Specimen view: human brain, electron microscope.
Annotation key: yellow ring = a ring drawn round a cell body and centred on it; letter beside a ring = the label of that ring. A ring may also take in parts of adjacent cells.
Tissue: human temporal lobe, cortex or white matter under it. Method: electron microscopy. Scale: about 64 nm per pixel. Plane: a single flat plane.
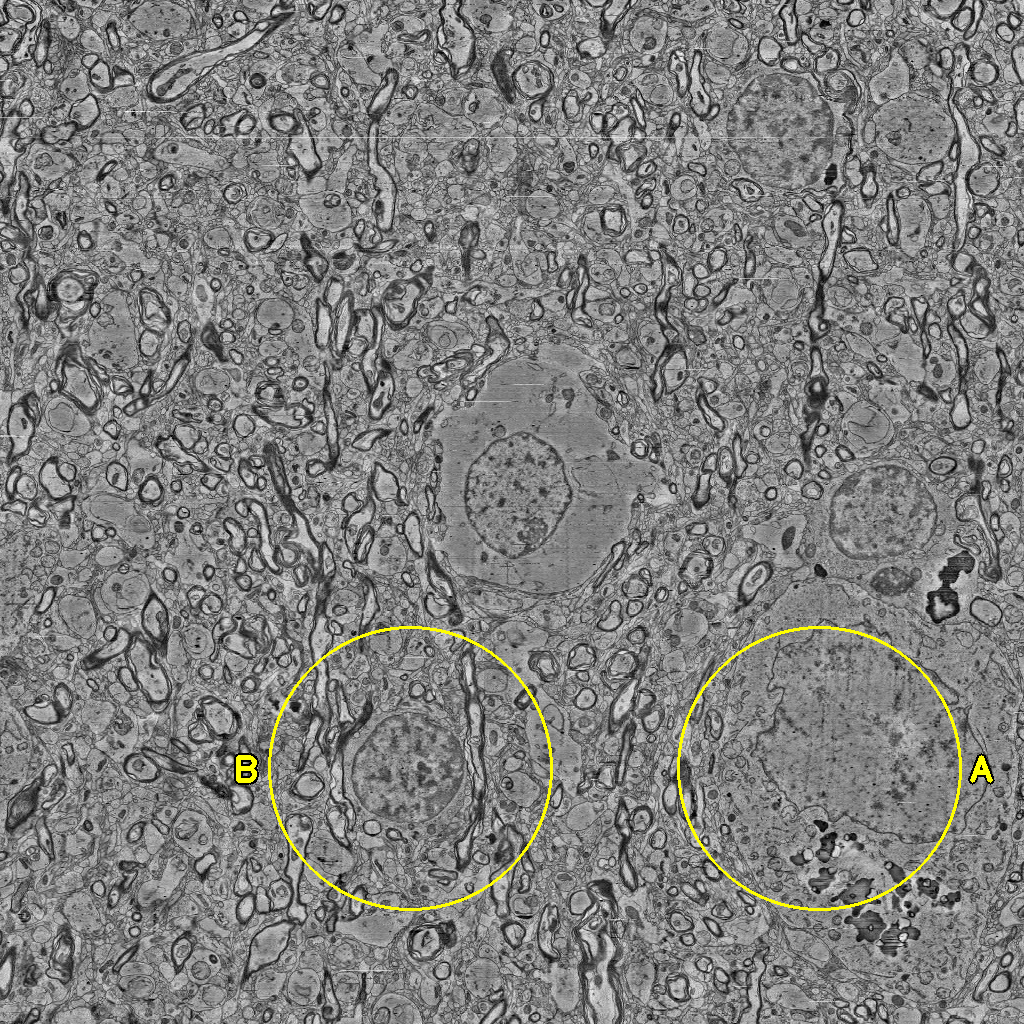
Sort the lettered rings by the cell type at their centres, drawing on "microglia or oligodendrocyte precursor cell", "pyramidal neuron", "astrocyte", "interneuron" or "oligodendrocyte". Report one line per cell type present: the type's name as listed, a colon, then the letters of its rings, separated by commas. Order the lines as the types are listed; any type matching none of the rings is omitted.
pyramidal neuron: A
oligodendrocyte: B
